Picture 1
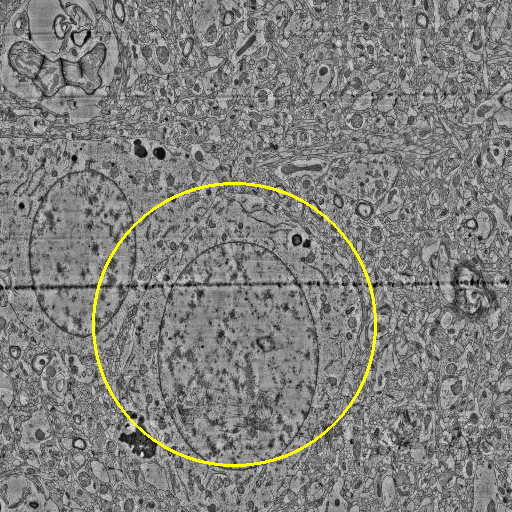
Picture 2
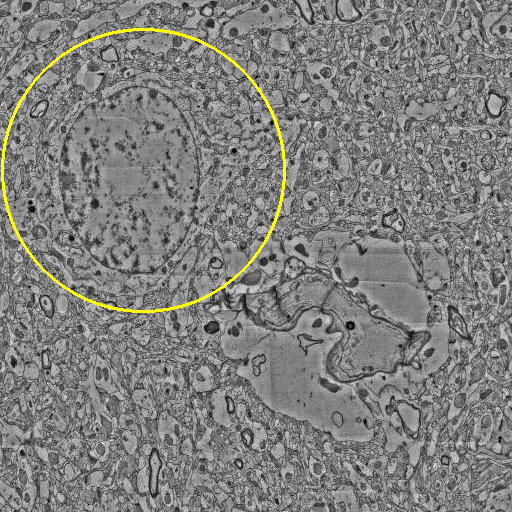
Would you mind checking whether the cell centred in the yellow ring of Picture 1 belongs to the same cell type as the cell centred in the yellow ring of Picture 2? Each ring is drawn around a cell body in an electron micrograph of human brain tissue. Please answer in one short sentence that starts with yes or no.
Yes, both cells are of the same type.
